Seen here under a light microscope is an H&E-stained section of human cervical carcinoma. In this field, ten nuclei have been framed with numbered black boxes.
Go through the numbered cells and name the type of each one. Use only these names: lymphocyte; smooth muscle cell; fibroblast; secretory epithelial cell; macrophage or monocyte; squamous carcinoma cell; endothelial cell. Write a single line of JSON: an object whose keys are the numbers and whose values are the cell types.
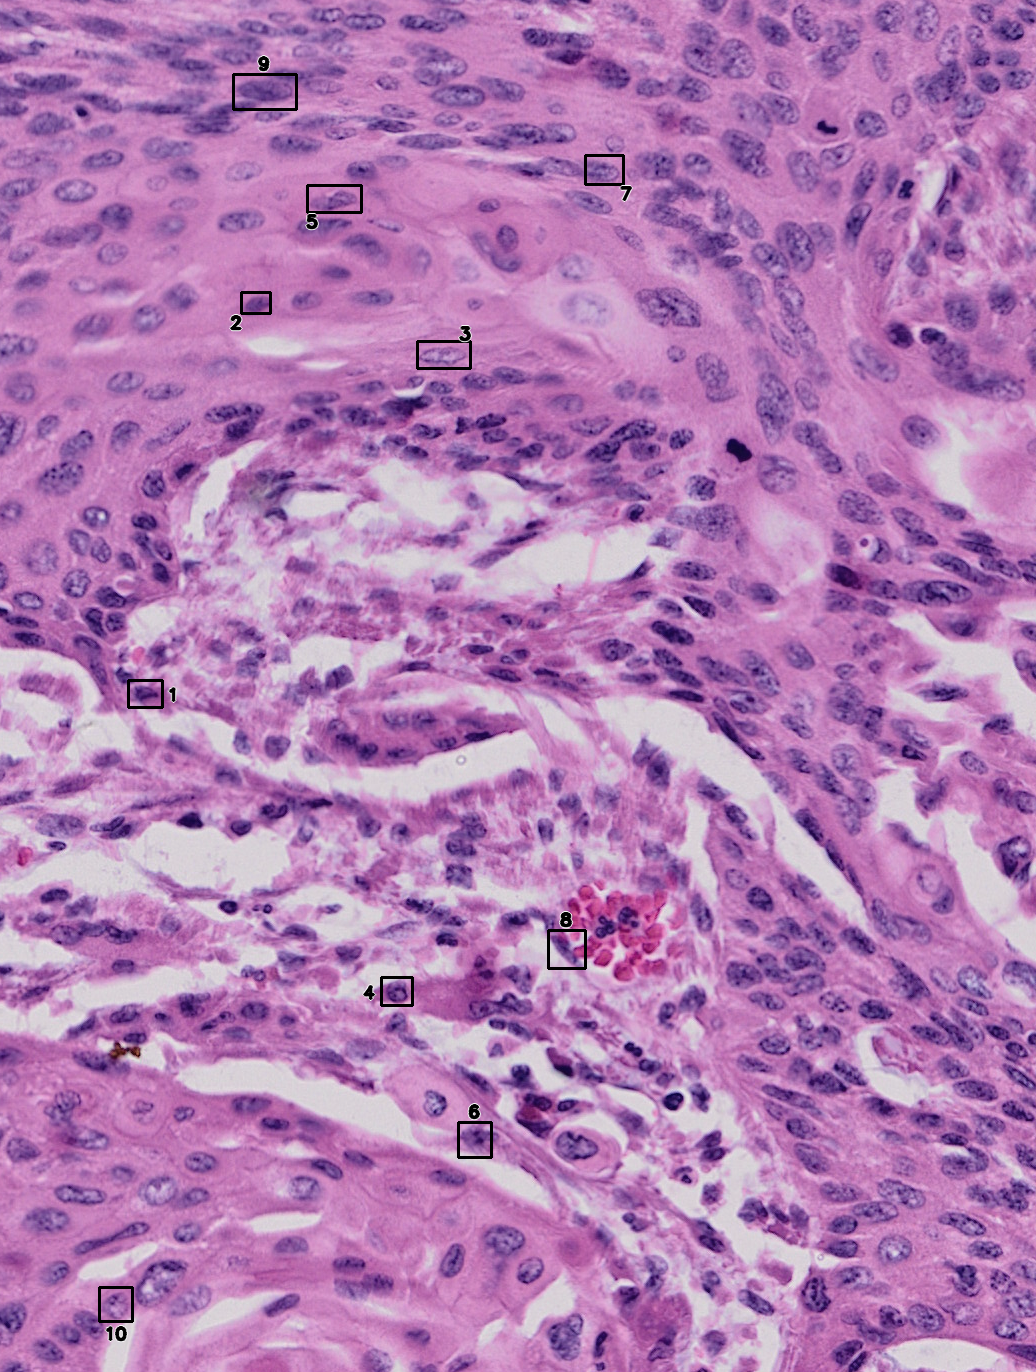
{"1": "macrophage or monocyte", "2": "squamous carcinoma cell", "3": "squamous carcinoma cell", "4": "macrophage or monocyte", "5": "squamous carcinoma cell", "6": "macrophage or monocyte", "7": "squamous carcinoma cell", "8": "endothelial cell", "9": "squamous carcinoma cell", "10": "squamous carcinoma cell"}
